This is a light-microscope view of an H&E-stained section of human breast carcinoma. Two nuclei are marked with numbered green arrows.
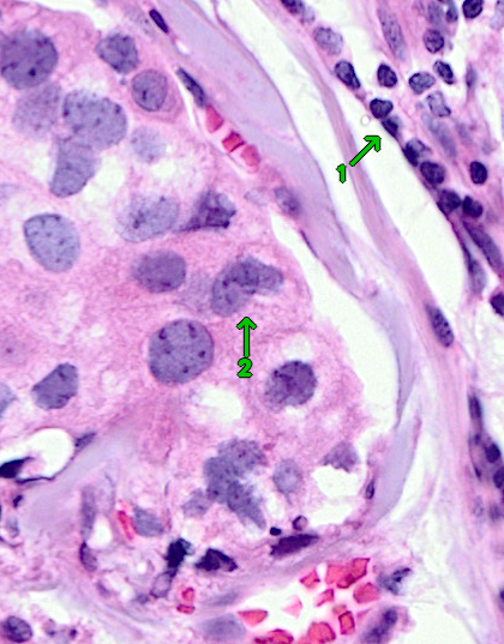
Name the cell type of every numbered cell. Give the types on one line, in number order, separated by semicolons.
lymphocyte; carcinoma cell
